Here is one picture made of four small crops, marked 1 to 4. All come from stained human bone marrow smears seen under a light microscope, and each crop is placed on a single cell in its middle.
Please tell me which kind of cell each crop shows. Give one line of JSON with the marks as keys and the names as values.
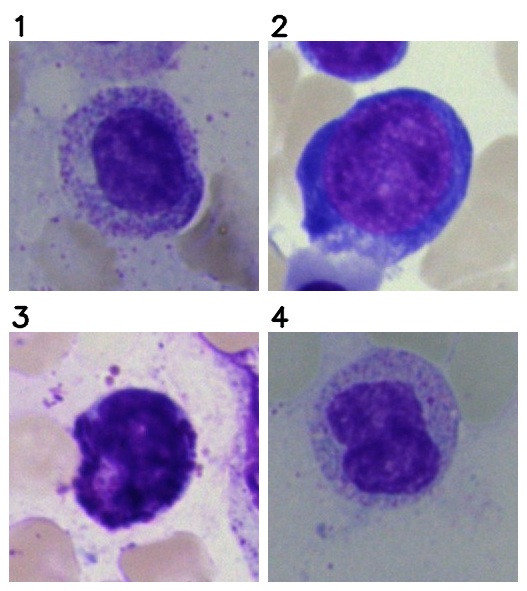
{"1": "myelocyte", "2": "proerythroblast", "3": "basophil", "4": "metamyelocyte"}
